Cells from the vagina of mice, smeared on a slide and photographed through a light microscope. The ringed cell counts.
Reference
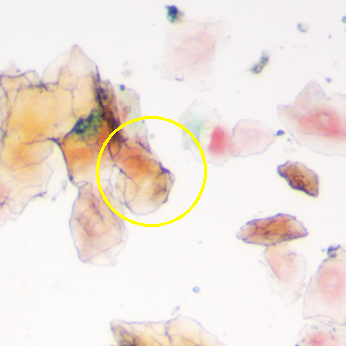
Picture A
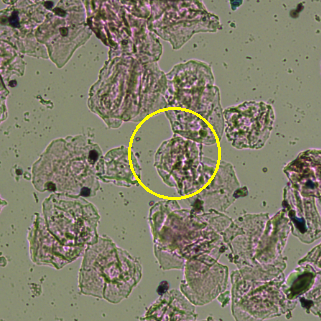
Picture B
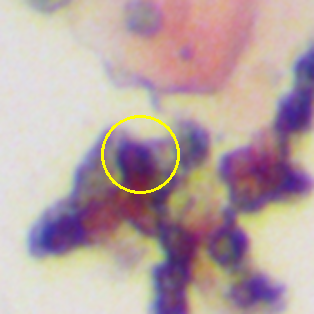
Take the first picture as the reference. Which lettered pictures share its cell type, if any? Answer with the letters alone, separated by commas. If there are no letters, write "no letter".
A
